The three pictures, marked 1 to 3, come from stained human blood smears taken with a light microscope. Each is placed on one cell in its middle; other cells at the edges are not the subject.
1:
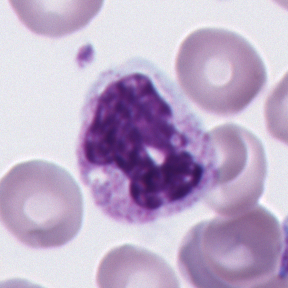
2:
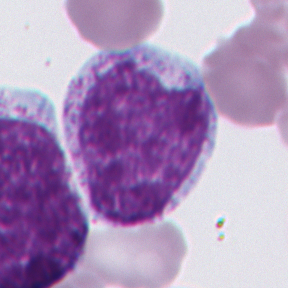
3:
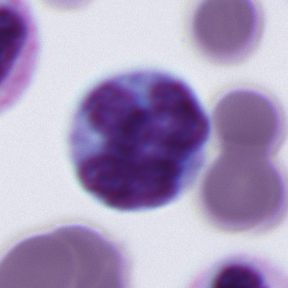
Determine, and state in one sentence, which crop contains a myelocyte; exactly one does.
The crop carrying a myelocyte at the center is crop 2.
